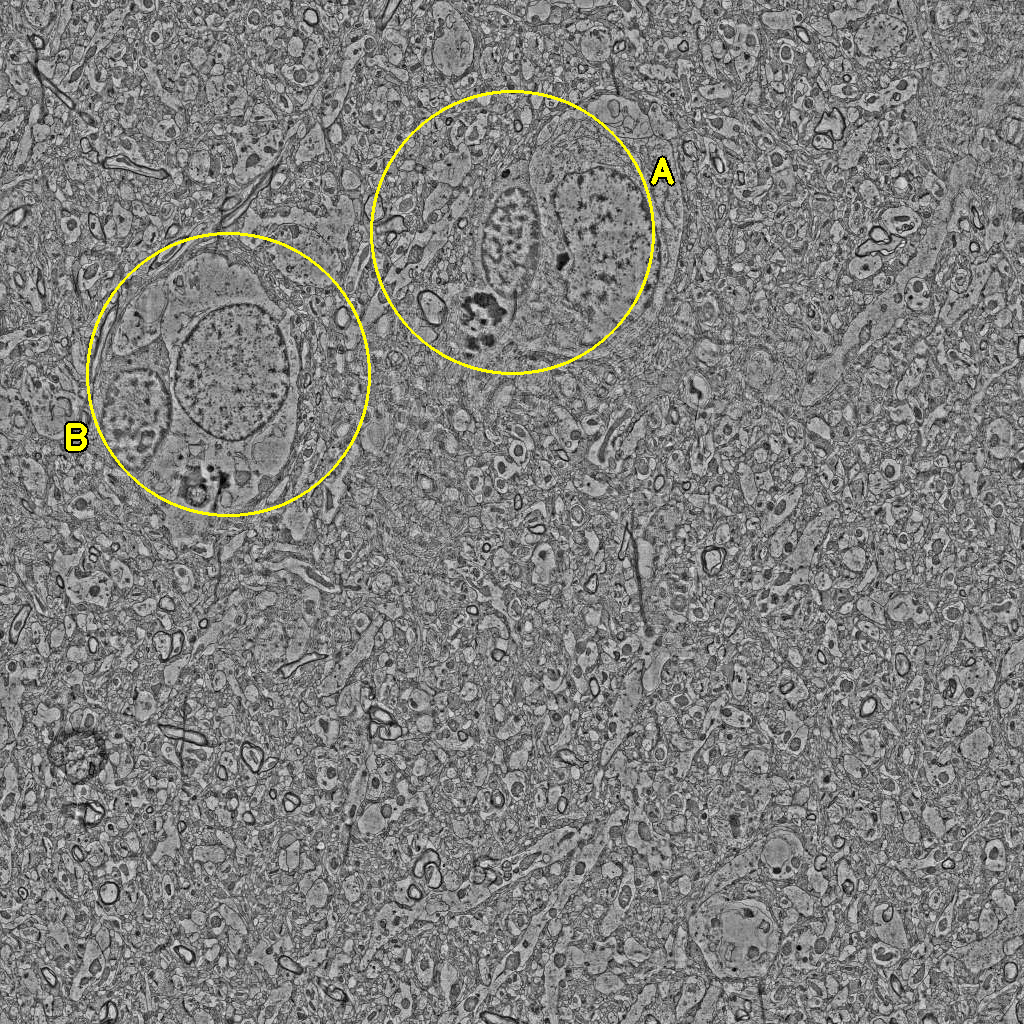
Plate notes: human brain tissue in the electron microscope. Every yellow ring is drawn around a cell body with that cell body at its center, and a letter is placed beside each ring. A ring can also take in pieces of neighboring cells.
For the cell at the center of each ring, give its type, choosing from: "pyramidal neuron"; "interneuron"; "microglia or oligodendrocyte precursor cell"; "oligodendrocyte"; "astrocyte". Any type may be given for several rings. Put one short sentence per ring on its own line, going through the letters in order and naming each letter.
Ring A shows an oligodendrocyte at the center.
Ring B shows an astrocyte at the center.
